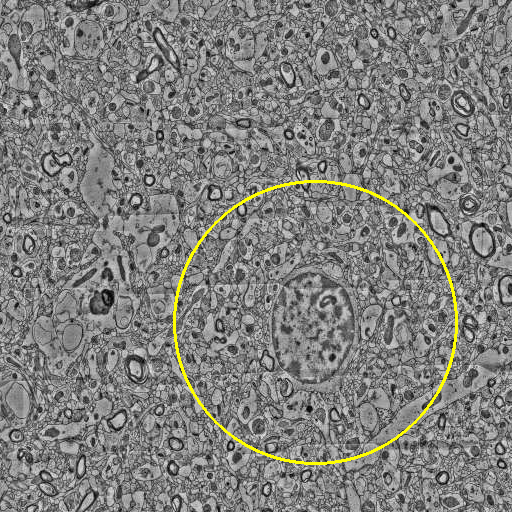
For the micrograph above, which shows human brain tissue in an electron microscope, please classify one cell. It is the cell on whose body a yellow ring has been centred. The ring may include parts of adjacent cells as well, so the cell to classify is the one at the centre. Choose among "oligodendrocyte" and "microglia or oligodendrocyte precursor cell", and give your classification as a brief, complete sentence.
I classify this cell as an oligodendrocyte.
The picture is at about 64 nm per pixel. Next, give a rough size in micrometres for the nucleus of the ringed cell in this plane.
The nucleus comes to roughly 7 by 6 micrometres in this plane.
